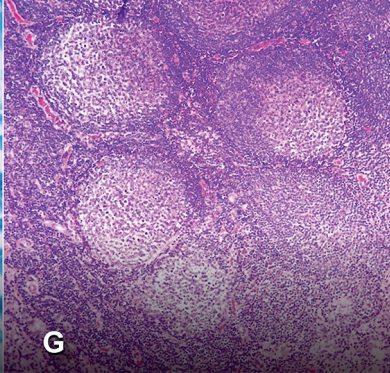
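This is a lymph node showing several enlarged, closely set lymphoid follicles with broad pale germinal centers. The follicles are surrounded and separated by sheets of densely packed small lymphocytes with dark round nuclei, and small vessels run between them.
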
